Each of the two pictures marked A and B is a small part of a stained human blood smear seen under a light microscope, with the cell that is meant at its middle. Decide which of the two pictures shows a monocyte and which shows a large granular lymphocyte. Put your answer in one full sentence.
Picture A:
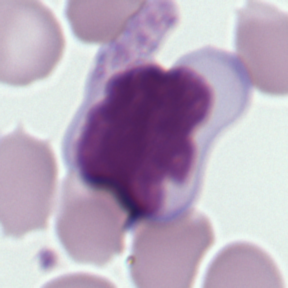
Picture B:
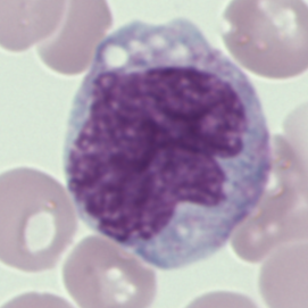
In picture A the cell is a large granular lymphocyte; in picture B, a monocyte.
